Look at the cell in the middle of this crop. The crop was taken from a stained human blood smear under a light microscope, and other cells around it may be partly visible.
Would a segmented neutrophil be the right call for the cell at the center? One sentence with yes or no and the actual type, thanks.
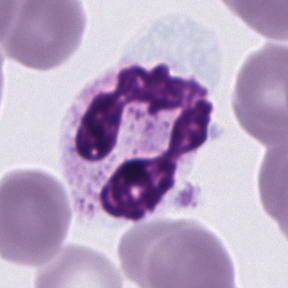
Yes, the cell at the middle of the field is to be classed as a segmented neutrophil.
